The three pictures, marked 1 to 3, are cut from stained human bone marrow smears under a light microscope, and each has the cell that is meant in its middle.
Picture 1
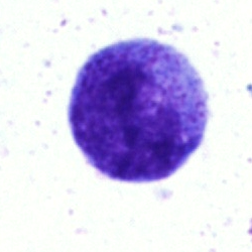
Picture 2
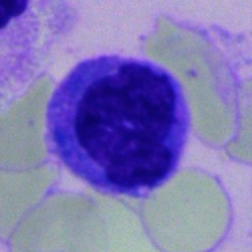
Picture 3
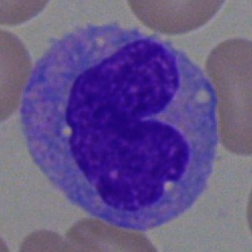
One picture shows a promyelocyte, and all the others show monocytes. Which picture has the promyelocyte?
1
